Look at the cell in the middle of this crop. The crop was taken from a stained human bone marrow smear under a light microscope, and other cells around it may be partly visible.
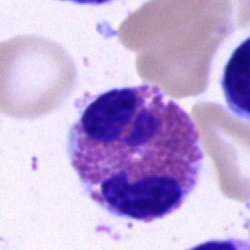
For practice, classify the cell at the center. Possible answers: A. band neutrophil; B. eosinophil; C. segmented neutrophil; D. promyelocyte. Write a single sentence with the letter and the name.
The cell at the centre is an eosinophil, and option B accordingly is correct.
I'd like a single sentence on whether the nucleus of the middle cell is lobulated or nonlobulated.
Multiple nuclear lobes, two or more, can be counted in this cell.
